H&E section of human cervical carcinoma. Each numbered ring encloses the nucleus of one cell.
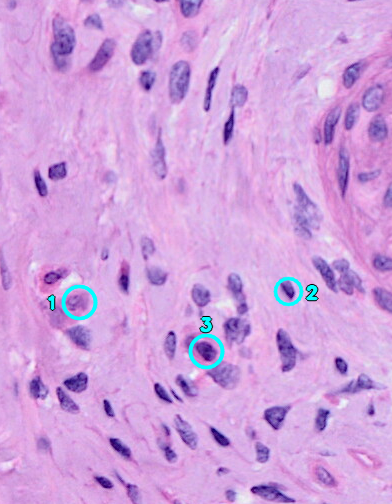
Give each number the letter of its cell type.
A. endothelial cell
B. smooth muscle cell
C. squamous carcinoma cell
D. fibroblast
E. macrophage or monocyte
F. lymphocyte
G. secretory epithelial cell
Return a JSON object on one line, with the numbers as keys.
{"1": "A", "2": "D", "3": "A"}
